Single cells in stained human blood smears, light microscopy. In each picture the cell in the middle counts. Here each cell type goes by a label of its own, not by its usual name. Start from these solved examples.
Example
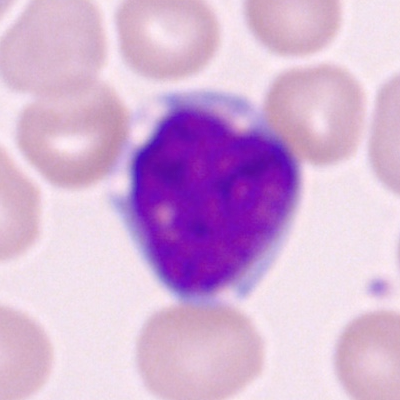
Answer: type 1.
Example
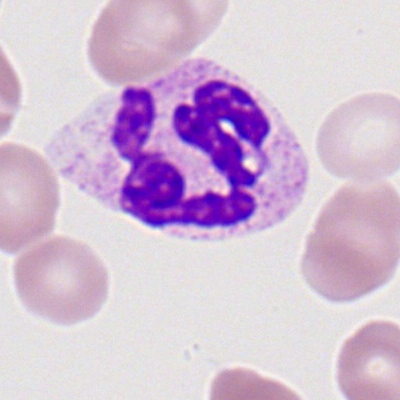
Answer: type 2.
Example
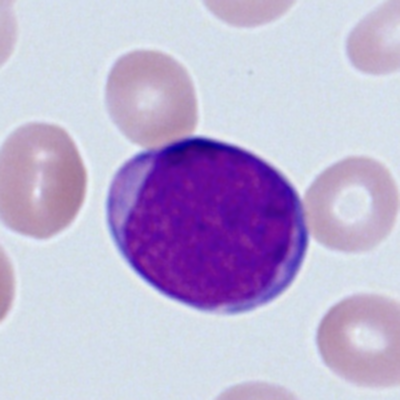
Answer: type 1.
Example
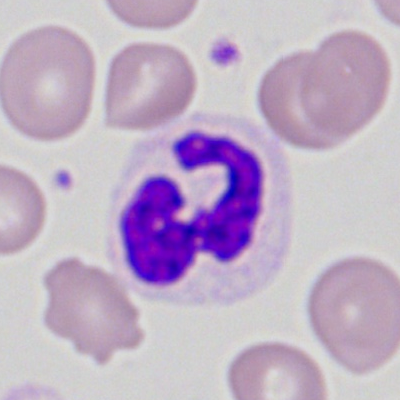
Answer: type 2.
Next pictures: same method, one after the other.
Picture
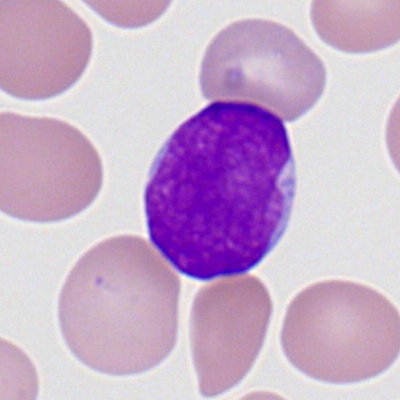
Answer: type 1.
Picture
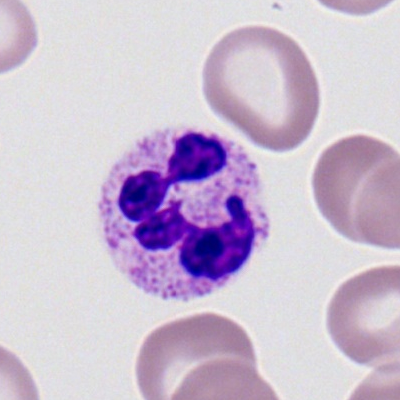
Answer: type 2.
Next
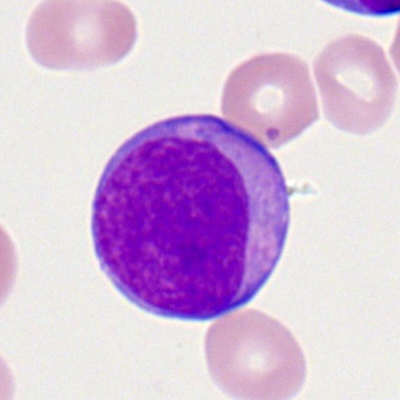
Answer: type 1.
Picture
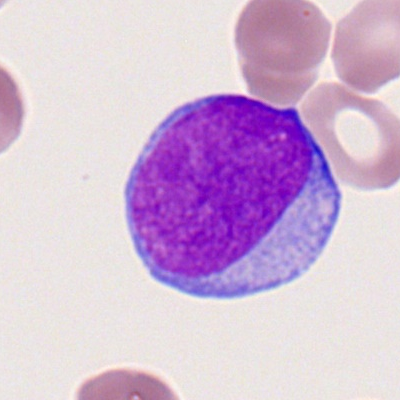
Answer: type 1.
